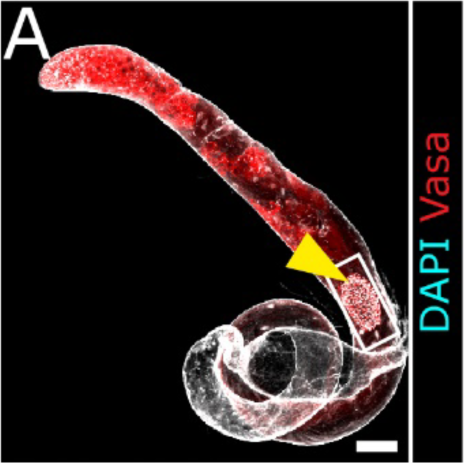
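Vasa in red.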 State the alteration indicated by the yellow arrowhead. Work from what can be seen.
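The arrowhead points to a compact, densely packed mass within the coiled testis. The mass stands apart from the more uniform tissue around it.
Tumor.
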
